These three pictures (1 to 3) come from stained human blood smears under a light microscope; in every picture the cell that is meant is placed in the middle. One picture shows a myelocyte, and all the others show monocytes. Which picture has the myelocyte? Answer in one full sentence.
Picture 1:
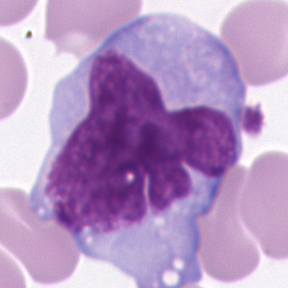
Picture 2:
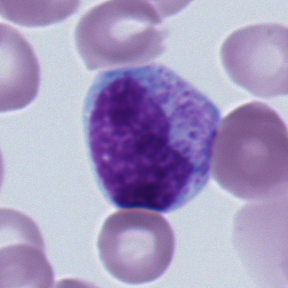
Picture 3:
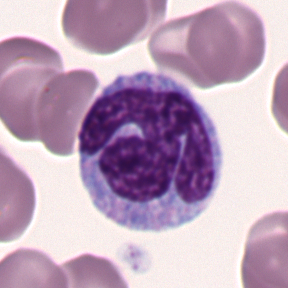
The cell in picture 2 is the myelocyte.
